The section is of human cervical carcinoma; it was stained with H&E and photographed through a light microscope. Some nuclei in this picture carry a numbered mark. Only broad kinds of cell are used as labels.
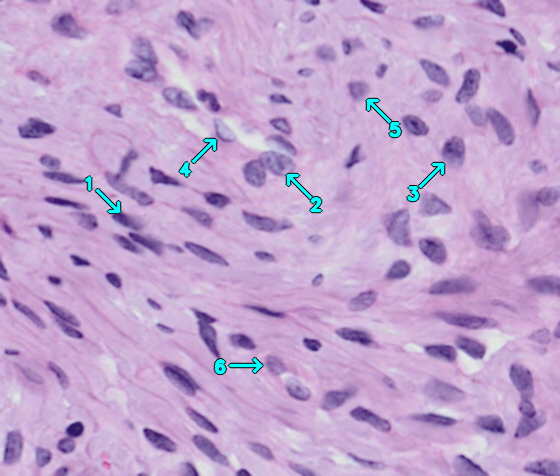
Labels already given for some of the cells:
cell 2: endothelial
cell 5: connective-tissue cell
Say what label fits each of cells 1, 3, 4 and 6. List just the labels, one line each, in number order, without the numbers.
connective-tissue cell
connective-tissue cell
endothelial
endothelial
